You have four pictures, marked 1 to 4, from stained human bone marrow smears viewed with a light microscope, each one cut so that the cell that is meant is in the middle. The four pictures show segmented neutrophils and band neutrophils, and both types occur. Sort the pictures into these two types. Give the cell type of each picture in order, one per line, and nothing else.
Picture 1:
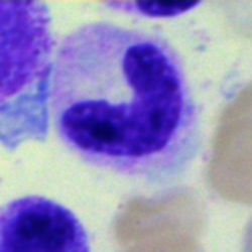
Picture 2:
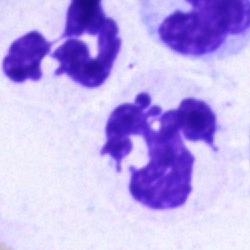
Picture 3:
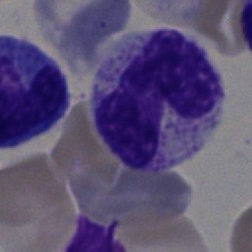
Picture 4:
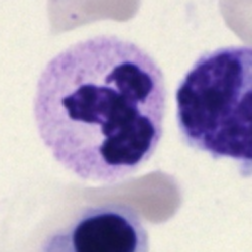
band neutrophil
segmented neutrophil
band neutrophil
segmented neutrophil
